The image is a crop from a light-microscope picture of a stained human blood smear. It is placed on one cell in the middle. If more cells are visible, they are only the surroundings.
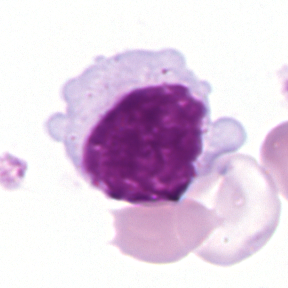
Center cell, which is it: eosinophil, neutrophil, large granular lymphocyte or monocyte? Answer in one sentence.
In the center of this field lies a large granular lymphocyte.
